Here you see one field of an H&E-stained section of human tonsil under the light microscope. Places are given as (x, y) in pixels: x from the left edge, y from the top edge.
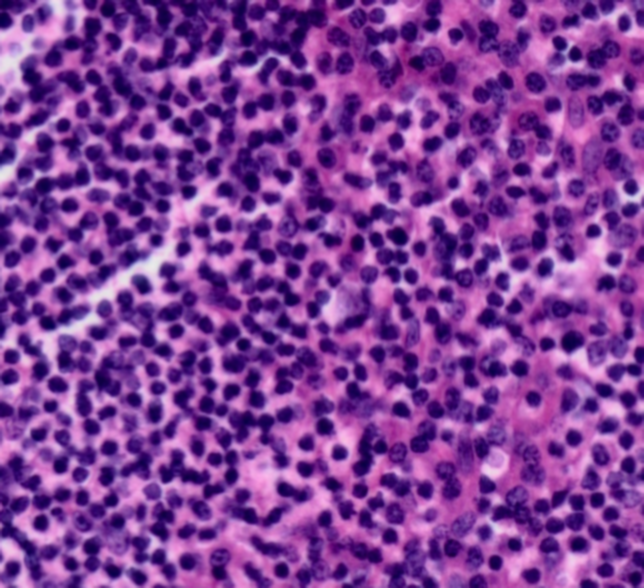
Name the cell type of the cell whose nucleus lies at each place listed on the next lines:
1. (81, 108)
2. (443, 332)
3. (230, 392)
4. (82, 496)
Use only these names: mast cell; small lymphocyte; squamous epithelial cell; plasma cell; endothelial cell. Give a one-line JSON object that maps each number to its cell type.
{"1": "small lymphocyte", "2": "plasma cell", "3": "small lymphocyte", "4": "small lymphocyte"}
